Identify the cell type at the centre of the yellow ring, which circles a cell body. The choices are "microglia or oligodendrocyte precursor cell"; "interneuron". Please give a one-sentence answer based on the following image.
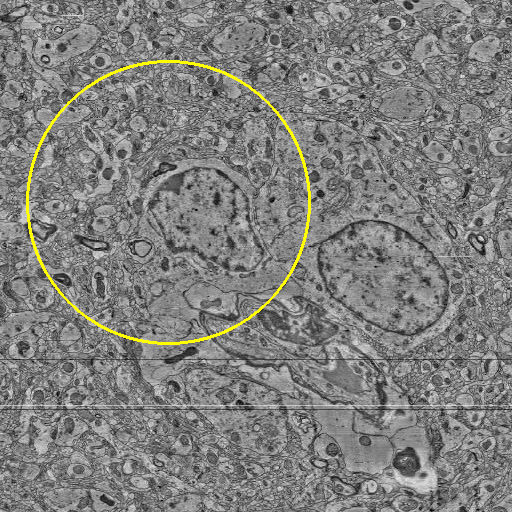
The cell marked by the ring is a microglial cell or oligodendrocyte precursor cell.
